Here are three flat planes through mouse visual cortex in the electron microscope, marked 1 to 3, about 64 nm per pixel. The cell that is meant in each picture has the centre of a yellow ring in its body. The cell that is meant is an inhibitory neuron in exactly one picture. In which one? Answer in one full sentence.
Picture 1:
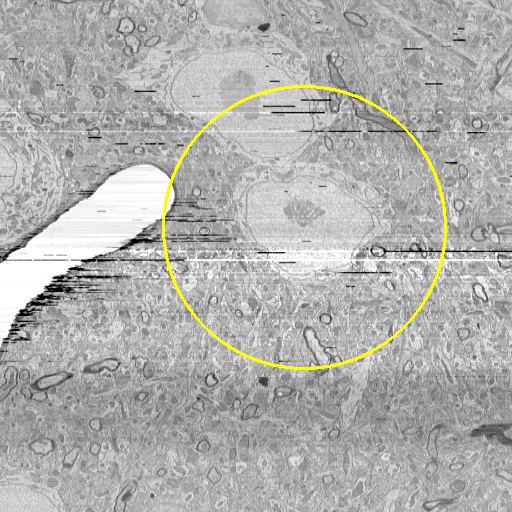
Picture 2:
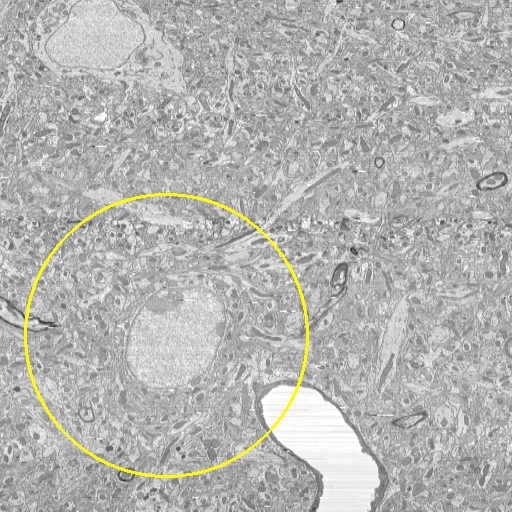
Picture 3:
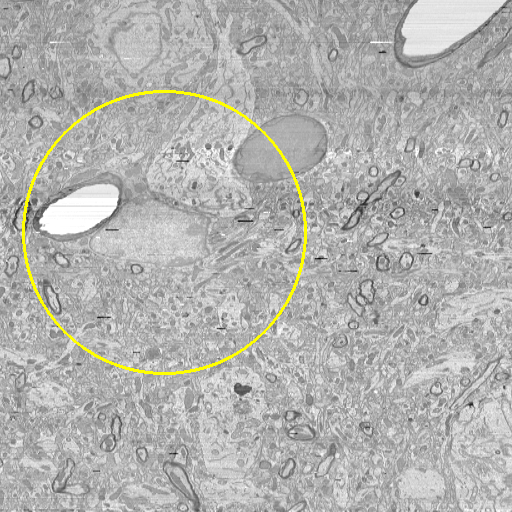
Picture 1 is the one that shows the inhibitory neuron.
